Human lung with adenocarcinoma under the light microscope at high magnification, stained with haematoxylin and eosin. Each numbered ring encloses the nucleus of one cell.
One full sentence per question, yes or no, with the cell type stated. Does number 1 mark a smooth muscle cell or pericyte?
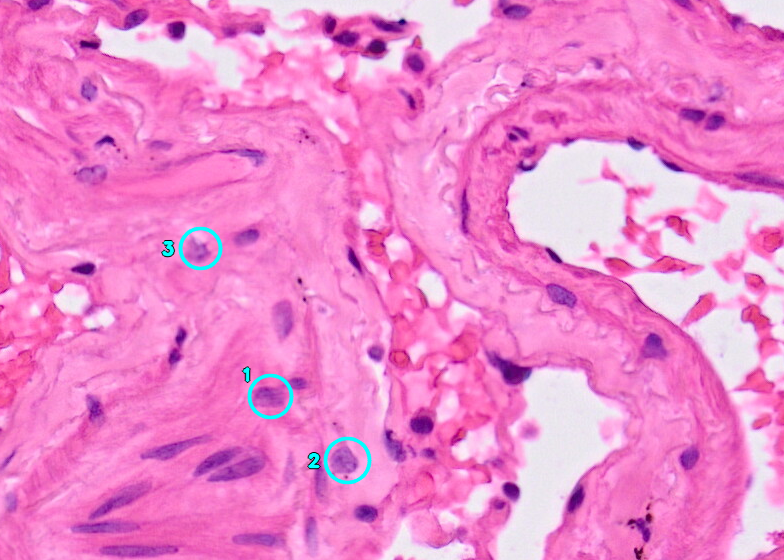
Yes, the cell tagged with number 1 is a smooth muscle cell or pericyte.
